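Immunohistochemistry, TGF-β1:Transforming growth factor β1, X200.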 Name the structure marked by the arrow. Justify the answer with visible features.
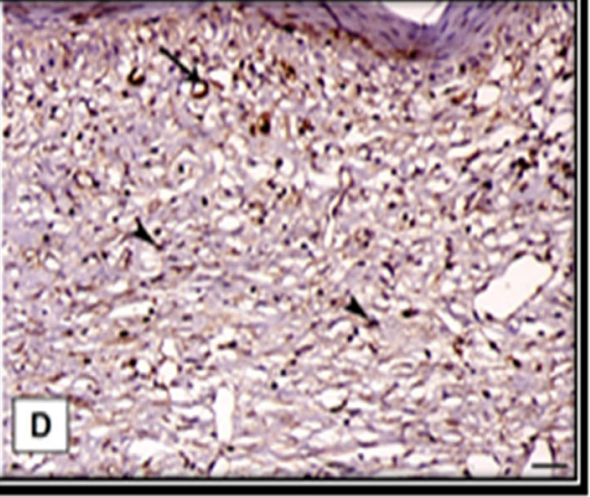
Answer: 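Blood capillaries. The arrow points to a small round lumen outlined by brown-stained cells. The lumen is small, capillary-sized.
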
